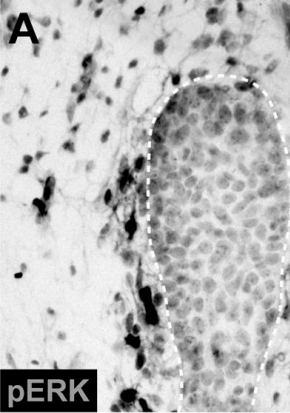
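The epithelium is made of densely packed cells with rounded nuclei, and the nuclei near the rounded front of the tip look darker grey than those further back along the stalk. Around the branch lies loose surrounding tissue with scattered, often elongated or spindle-shaped cells, many of which are stained very dark. The whole appears as a growing epithelial bud pushing into the surrounding mesenchyme.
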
